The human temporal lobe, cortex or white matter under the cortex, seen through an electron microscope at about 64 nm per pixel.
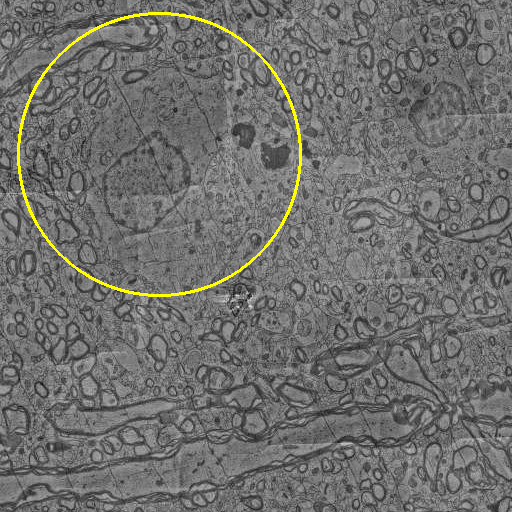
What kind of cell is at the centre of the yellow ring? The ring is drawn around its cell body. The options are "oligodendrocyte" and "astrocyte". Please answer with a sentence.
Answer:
The yellow ring marks the cell body of an astrocyte.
